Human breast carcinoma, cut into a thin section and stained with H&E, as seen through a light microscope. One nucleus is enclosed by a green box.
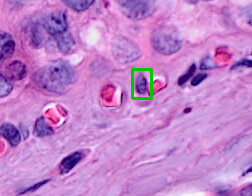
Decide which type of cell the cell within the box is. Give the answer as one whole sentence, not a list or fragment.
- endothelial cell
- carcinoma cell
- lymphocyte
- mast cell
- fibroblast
Cytologically, the cell within the box is to be regarded as an endothelial cell.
